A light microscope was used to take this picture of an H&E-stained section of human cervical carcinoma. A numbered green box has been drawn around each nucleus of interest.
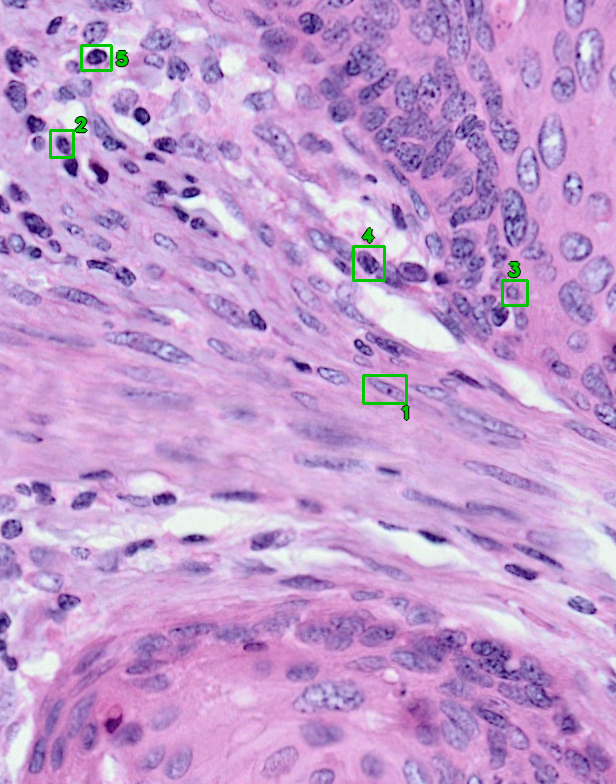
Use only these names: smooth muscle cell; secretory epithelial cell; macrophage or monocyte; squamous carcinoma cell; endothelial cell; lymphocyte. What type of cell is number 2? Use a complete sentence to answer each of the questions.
The cell pointed out by number 2 is a lymphocyte.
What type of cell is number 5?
The cell carrying label 5 is identified as a lymphocyte.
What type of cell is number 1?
The cell that carries the label 1 is a smooth muscle cell.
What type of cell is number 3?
The cell given label 3 is a squamous carcinoma cell.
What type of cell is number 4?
The cell identified by the number 4 is a lymphocyte.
